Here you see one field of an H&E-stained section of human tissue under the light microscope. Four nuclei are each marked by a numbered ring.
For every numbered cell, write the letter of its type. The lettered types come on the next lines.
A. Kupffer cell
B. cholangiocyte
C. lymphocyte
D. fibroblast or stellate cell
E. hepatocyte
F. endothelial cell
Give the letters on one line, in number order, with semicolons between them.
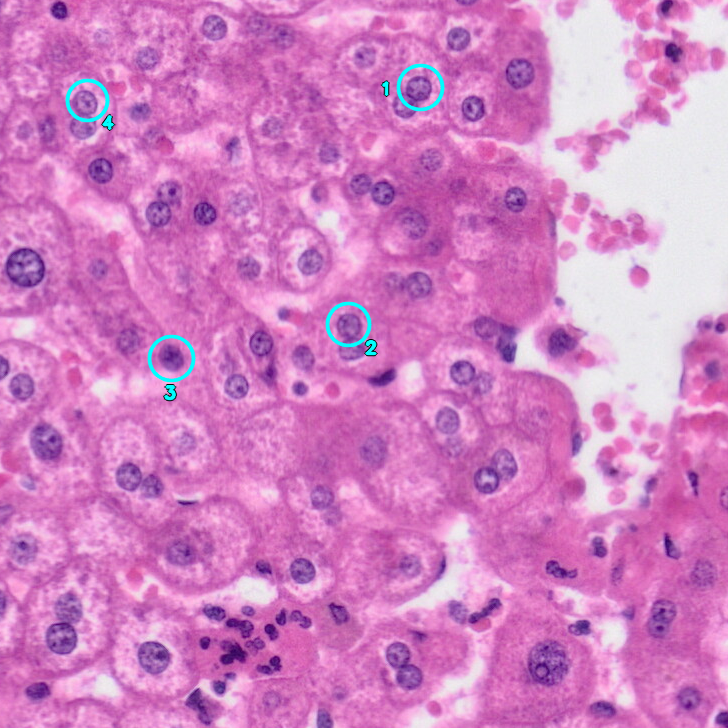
E; E; F; E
